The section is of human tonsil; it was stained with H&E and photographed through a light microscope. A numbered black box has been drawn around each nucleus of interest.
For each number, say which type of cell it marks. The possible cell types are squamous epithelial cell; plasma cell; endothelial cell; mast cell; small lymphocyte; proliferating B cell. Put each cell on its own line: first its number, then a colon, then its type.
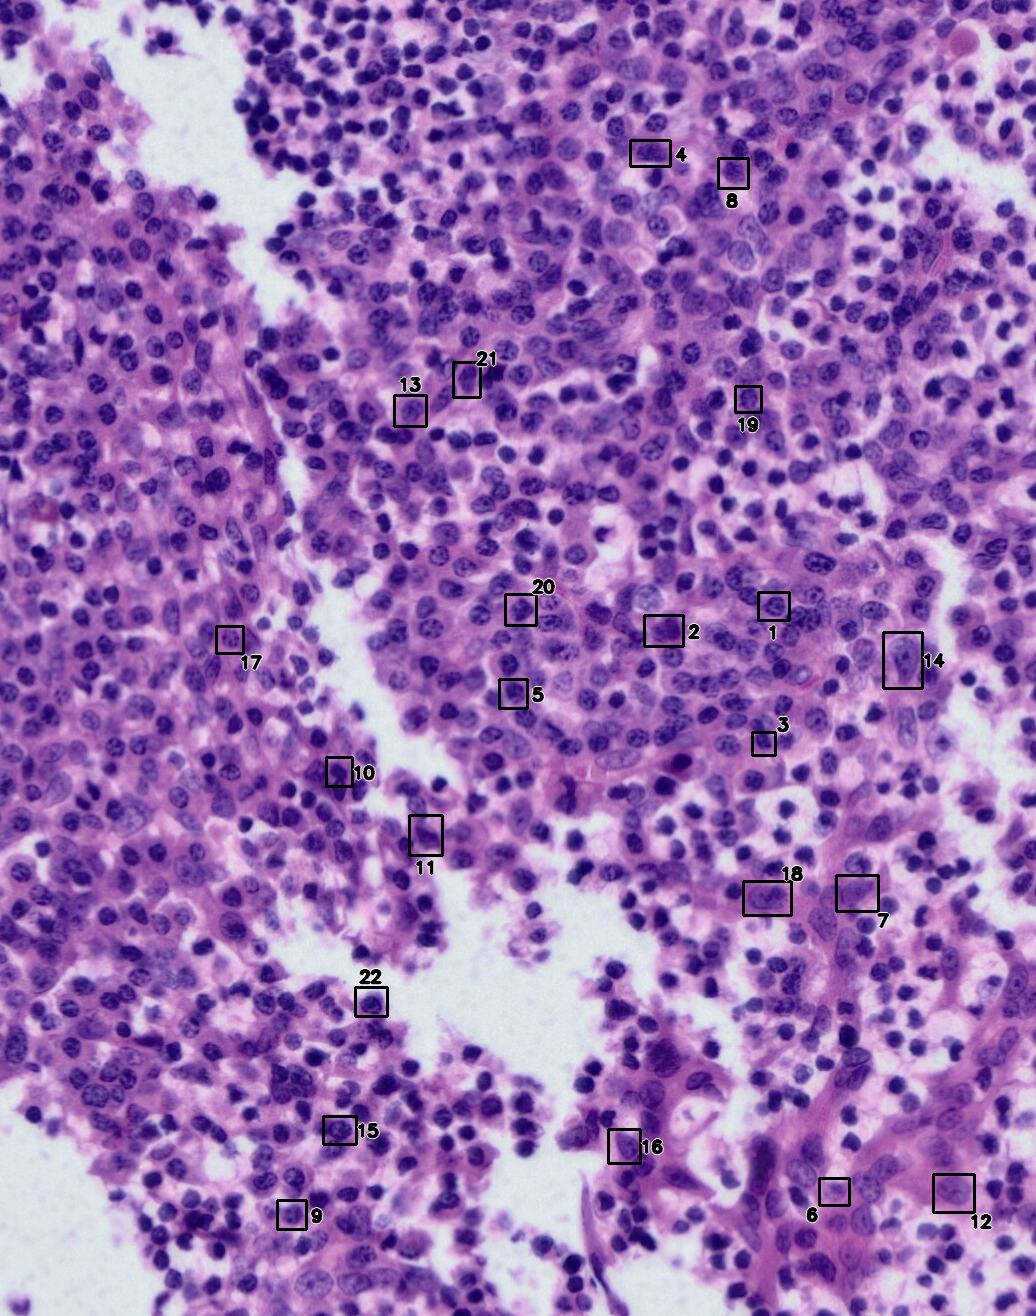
1: plasma cell
2: squamous epithelial cell
3: plasma cell
4: squamous epithelial cell
5: plasma cell
6: squamous epithelial cell
7: squamous epithelial cell
8: squamous epithelial cell
9: plasma cell
10: plasma cell
11: squamous epithelial cell
12: squamous epithelial cell
13: plasma cell
14: squamous epithelial cell
15: plasma cell
16: squamous epithelial cell
17: plasma cell
18: squamous epithelial cell
19: plasma cell
20: plasma cell
21: squamous epithelial cell
22: plasma cell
